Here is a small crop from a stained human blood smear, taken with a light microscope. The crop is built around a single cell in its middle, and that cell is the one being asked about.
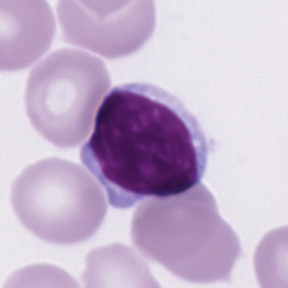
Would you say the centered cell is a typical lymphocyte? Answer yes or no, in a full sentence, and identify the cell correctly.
Yes, the crop is centred on a typical lymphocyte.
